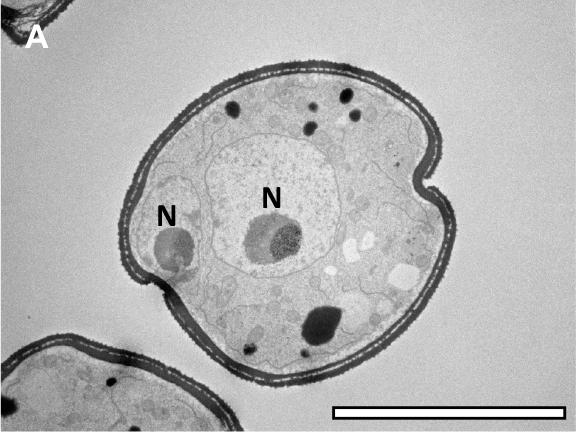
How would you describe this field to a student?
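This pollen grain is bounded by a thick, dark, multilayered wall with a finely sculpted outer surface and an infolded region at one side. Inside lie two nuclei: a large round one near the centre with a light granular interior and a dense dark nucleolus, and a smaller, darker one pressed close to the wall. The surrounding cytoplasm is pale with many small membrane-bound organelles, a few light vacuoles and scattered very dark rounded bodies.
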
